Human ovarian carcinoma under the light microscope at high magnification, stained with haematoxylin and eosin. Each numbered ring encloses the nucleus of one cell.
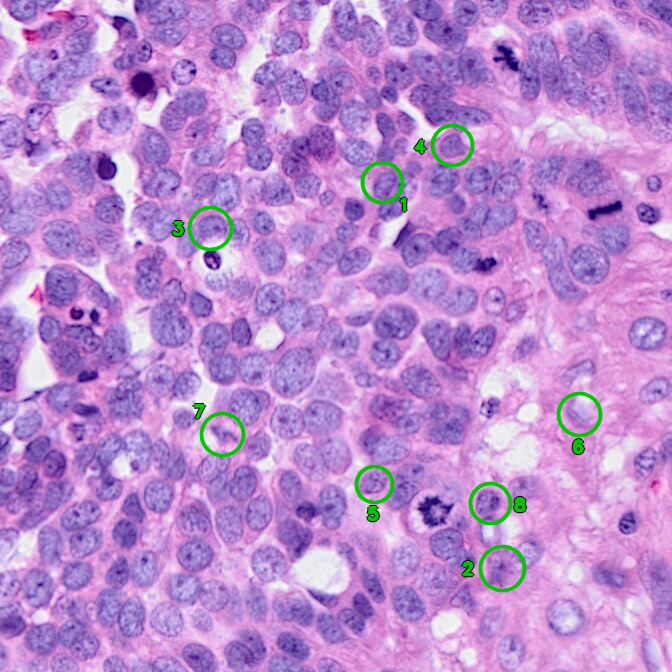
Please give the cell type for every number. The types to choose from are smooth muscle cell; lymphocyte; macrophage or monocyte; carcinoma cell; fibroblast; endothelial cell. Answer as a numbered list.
1. carcinoma cell
2. fibroblast
3. carcinoma cell
4. carcinoma cell
5. carcinoma cell
6. fibroblast
7. macrophage or monocyte
8. macrophage or monocyte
